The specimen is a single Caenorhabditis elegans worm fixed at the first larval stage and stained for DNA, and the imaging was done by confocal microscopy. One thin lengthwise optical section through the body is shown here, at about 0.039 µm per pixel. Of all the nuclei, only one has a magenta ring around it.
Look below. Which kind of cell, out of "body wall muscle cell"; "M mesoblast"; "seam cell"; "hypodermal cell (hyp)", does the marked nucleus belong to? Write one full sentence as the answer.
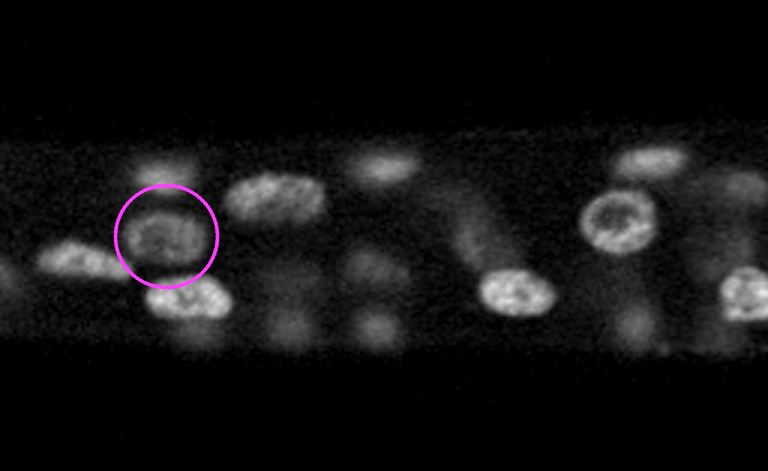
What is marked is the nucleus of a seam cell.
